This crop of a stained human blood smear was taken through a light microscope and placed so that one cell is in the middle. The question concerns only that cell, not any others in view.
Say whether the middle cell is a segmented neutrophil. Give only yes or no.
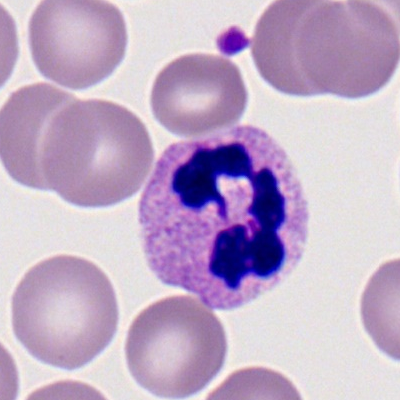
yes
